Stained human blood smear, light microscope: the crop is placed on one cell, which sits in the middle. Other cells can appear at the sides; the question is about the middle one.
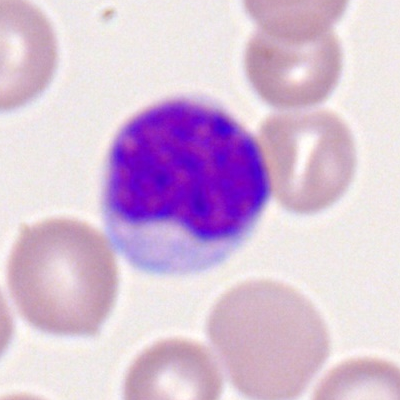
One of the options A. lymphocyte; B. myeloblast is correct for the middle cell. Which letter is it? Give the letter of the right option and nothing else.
A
